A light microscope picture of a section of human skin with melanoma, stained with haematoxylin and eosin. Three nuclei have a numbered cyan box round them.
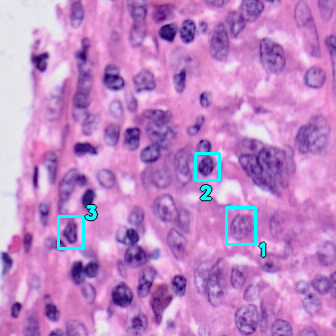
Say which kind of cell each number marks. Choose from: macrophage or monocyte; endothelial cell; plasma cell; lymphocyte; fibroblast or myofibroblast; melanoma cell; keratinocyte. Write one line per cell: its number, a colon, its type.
1: melanoma cell
2: lymphocyte
3: lymphocyte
